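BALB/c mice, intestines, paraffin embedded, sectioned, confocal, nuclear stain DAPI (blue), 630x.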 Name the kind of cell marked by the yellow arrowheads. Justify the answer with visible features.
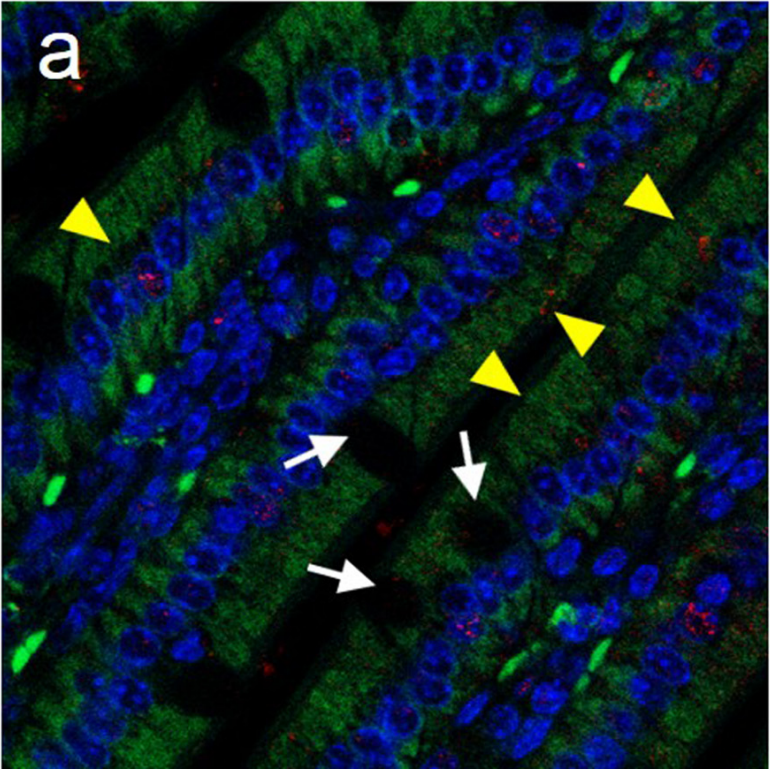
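Enterocytes. The arrowheads point at the cytoplasm of tall columnar epithelial cells lining the villi.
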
